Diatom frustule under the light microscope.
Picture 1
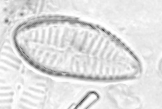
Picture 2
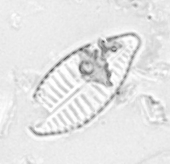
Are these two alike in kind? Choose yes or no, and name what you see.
Yes. Gomphonema.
